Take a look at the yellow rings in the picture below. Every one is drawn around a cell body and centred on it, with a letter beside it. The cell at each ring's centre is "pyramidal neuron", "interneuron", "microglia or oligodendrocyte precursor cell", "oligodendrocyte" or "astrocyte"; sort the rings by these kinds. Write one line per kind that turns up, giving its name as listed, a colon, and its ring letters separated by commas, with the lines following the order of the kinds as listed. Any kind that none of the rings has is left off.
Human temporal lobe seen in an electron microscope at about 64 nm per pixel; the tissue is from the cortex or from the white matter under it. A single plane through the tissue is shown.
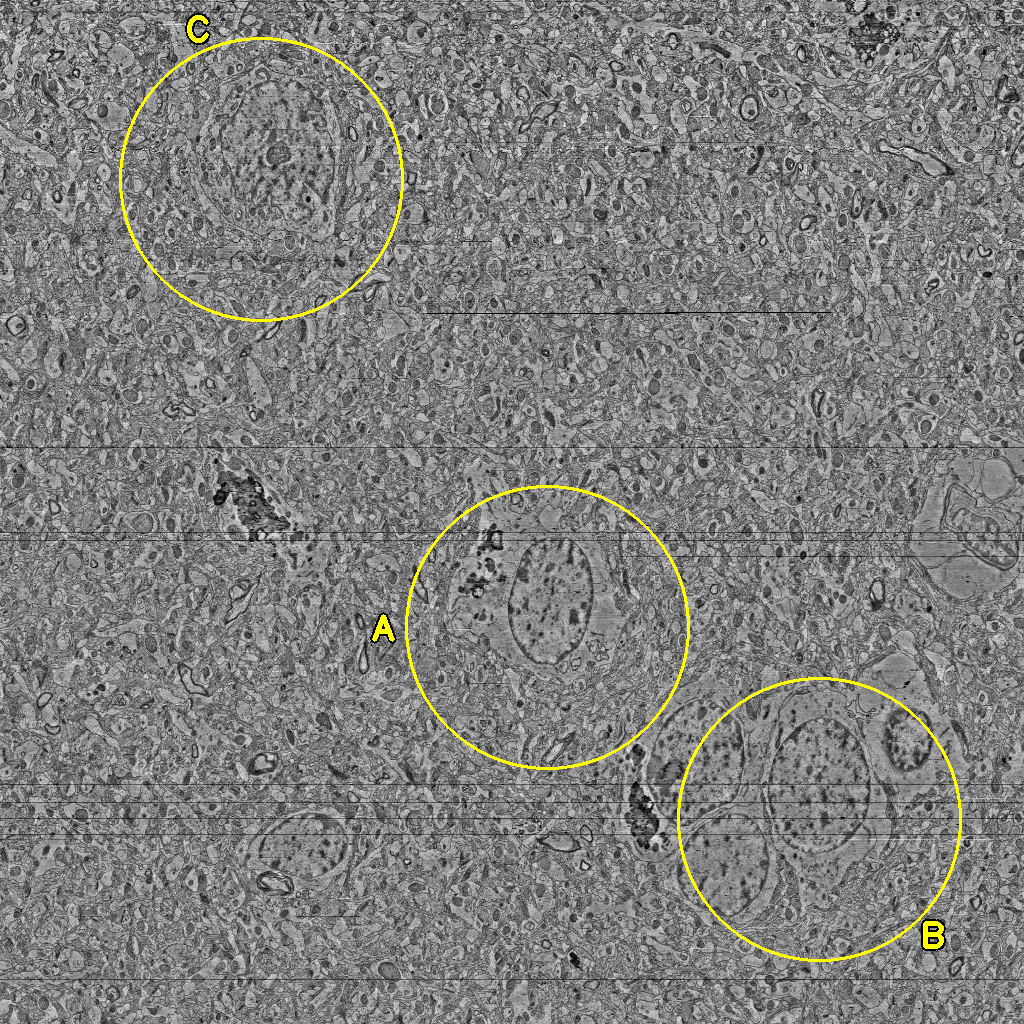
interneuron: C
astrocyte: A, B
